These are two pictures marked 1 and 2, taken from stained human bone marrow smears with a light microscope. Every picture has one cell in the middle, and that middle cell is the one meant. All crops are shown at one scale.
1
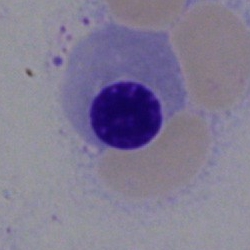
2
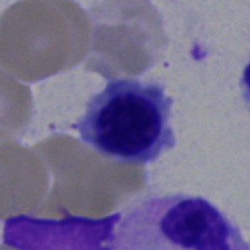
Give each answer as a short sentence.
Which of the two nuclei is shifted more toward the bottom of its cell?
Seen within its cell, the nucleus in picture 1 lies further toward the bottom.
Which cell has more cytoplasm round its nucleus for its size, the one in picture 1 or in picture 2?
Of the two, the nucleus in picture 1 leaves more room for cytoplasm.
